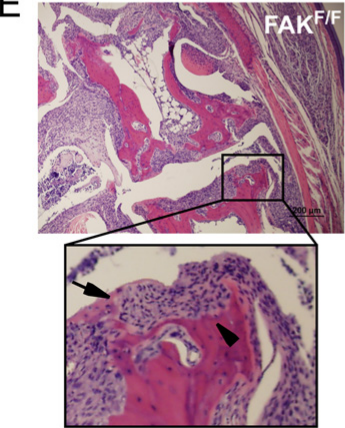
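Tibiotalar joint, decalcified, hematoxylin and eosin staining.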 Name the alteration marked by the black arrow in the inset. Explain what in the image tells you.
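The inset shows densely cellular purple tissue pressing onto the edge of pink matrix. The tissue margin at the arrow is irregular where the cell-rich tissue meets it.
Conclusion: pannus invading cartilage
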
